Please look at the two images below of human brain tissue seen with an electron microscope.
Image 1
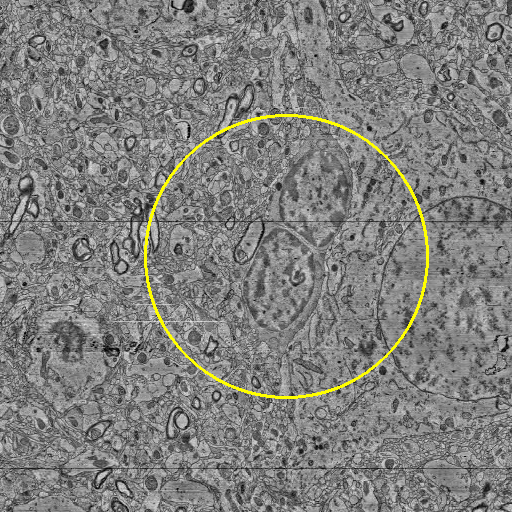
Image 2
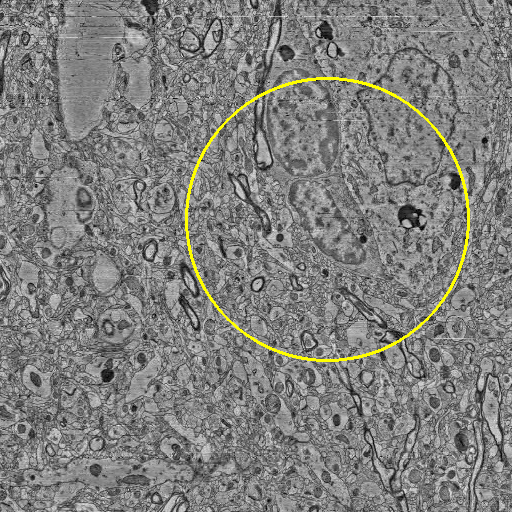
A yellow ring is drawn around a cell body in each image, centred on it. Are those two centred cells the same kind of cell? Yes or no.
yes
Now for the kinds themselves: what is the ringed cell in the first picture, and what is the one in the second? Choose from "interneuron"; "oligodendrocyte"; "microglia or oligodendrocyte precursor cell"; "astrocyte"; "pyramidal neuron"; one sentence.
Both pictures show an oligodendrocyte at the centre of the ring.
